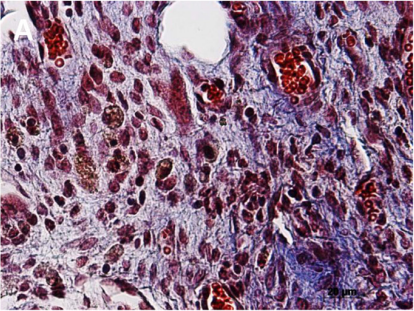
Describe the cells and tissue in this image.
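The cells have dark oval to elongated nuclei and reddish cytoplasm, packed close together in no clear layering. Small vessels filled with bright red blood cells are scattered through the tissue, and a clear empty space lies near the top.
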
